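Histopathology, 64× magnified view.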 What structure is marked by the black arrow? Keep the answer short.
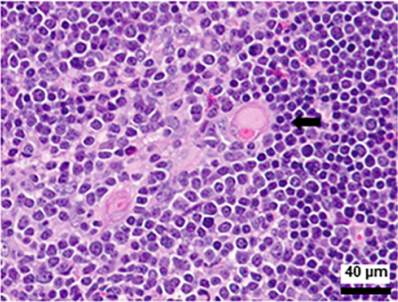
Hassall's Corpuscles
